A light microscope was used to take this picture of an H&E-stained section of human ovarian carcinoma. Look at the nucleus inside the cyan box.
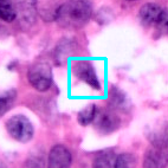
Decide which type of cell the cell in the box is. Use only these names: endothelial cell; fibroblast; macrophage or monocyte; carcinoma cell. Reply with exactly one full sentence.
Assigned to a cell type, the cell in the box is a carcinoma cell.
